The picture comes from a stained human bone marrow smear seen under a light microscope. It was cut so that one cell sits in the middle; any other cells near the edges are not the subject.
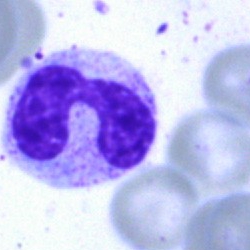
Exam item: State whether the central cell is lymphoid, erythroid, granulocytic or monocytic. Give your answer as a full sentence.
The cell in the center of the crop is counted in the granulocytic lineage.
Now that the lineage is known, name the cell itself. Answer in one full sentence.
For this crop, the cell in the middle is a band neutrophil.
